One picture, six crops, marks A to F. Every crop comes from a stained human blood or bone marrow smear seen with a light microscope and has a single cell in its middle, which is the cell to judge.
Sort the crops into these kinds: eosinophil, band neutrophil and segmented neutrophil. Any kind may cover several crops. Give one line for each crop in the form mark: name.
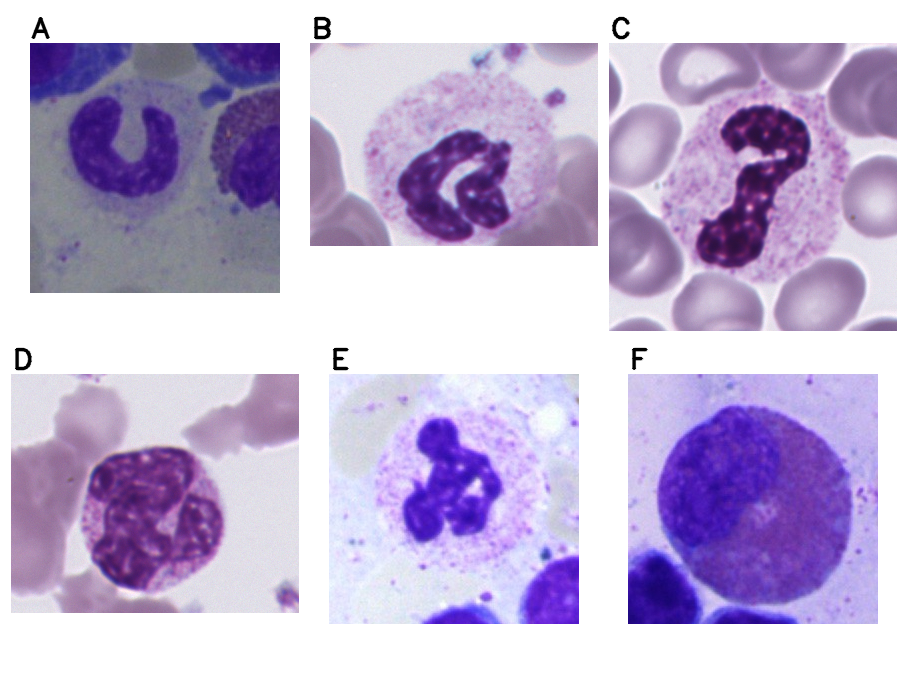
A: band neutrophil
B: segmented neutrophil
C: segmented neutrophil
D: segmented neutrophil
E: segmented neutrophil
F: eosinophil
